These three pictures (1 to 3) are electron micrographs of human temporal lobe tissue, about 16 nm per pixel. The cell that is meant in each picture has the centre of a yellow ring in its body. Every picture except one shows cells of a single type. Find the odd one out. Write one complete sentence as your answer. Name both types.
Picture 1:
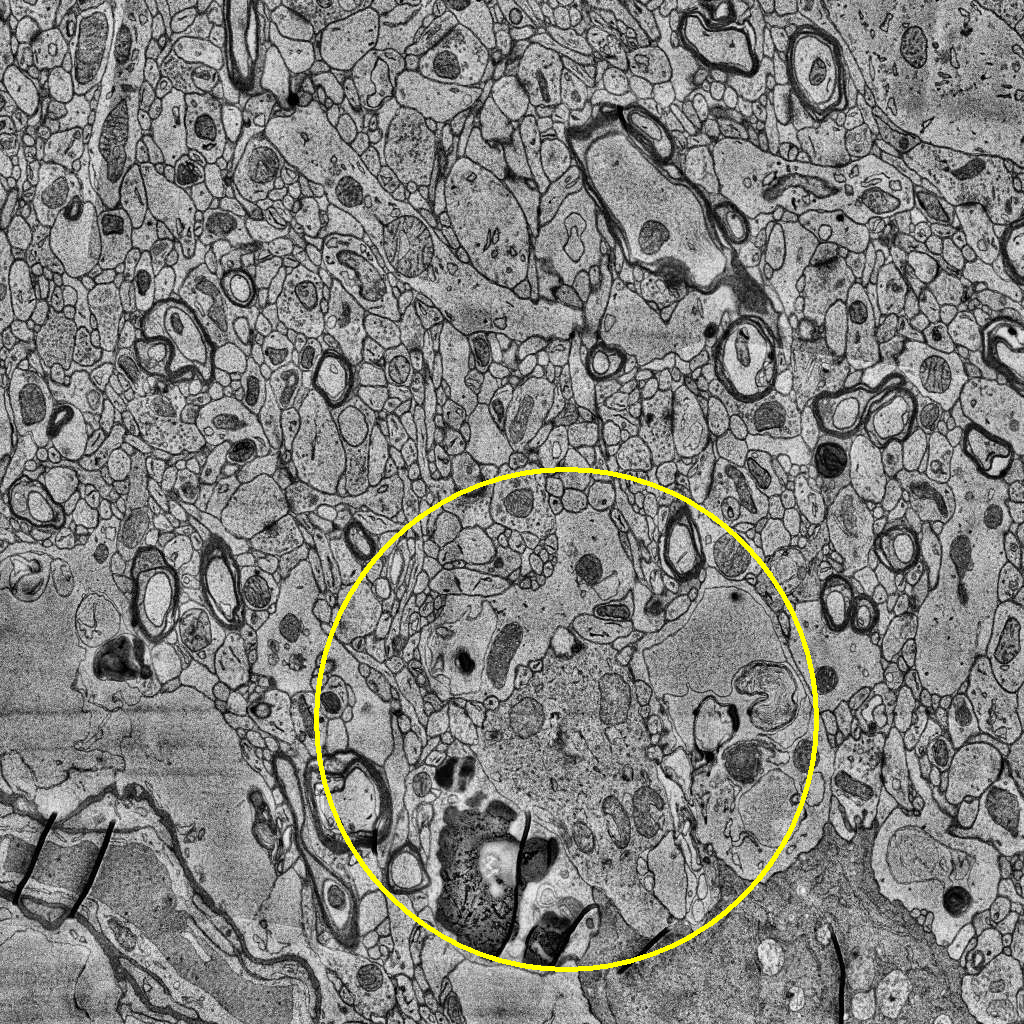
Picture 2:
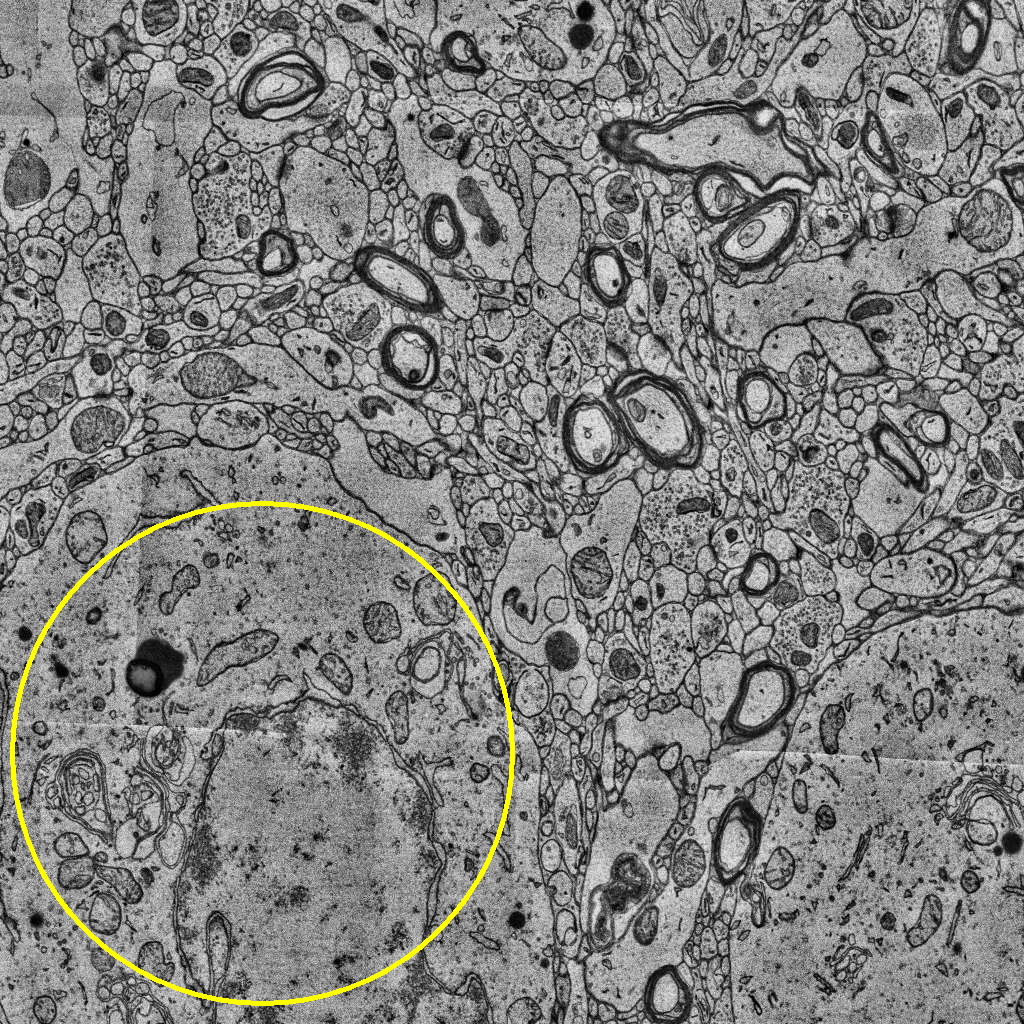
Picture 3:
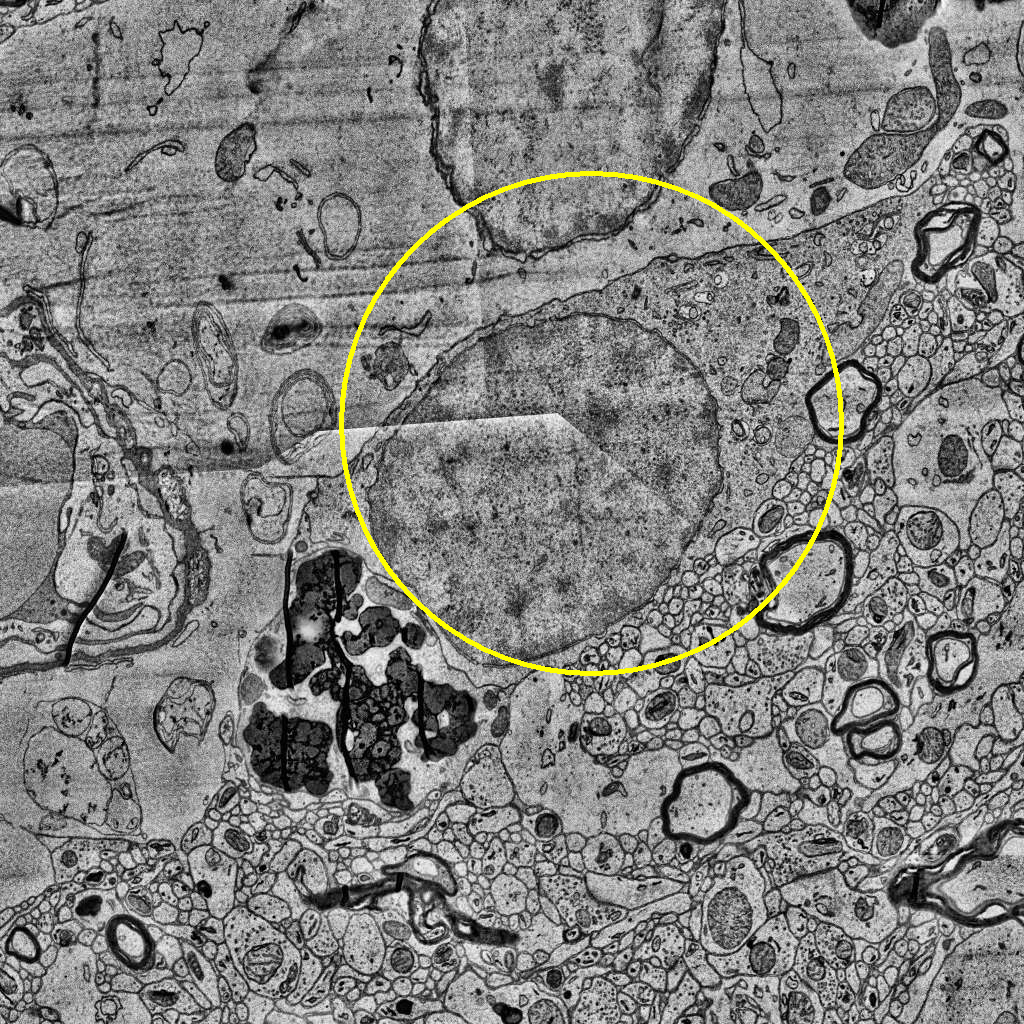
Picture 2 is the odd one out: it shows an interneuron, while the others show oligodendrocytes.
